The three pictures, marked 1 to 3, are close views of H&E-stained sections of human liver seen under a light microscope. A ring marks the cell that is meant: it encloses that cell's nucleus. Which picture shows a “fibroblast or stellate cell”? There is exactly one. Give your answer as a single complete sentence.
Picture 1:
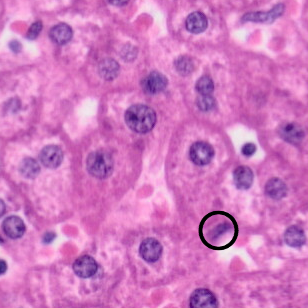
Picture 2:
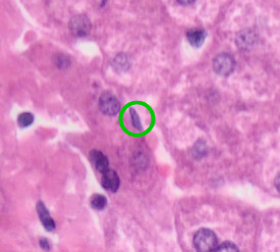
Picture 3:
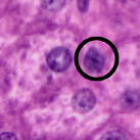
Picture 1 is the one that shows the “fibroblast or stellate cell”.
